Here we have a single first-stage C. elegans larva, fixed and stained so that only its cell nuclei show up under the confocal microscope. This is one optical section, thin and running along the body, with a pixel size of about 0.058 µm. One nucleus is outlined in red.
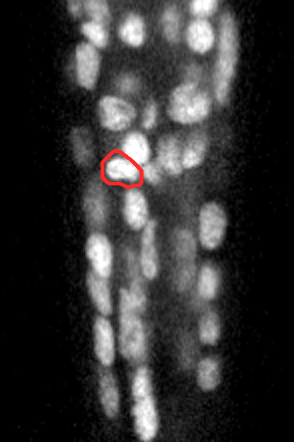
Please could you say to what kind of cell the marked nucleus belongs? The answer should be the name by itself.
pharyngeal muscle cell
